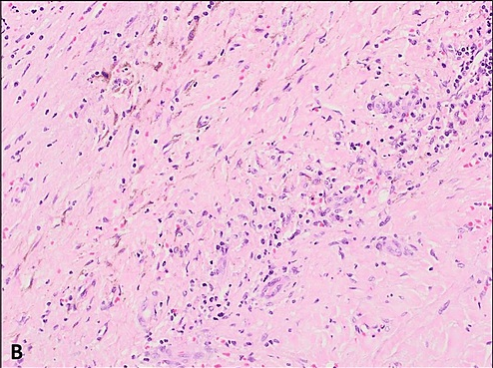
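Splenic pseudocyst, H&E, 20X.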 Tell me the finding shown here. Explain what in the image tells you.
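Golden-brown granular pigment lies in the upper part of the field. The pigment sits within pink fibrous tissue among scattered cells.
Answer: hemosiderin deposition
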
